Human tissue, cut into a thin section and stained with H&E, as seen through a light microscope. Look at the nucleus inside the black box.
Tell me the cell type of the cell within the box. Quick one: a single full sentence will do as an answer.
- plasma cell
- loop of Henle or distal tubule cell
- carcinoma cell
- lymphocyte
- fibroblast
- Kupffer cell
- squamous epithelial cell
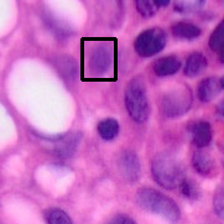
In this tissue section, the cell within the box is to be classed as a squamous epithelial cell.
